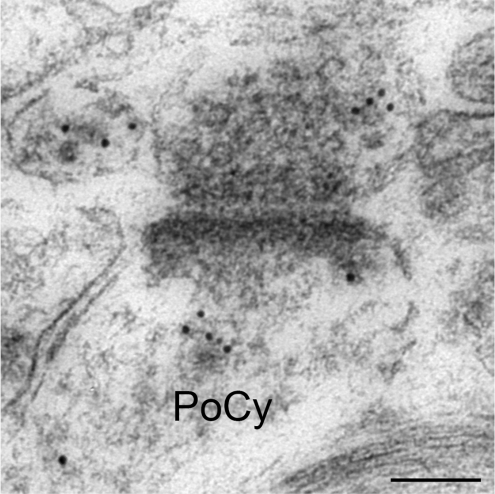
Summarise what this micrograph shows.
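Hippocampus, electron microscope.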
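This electron micrograph shows a synapse in brain tissue, with two neural profiles meeting across a narrow cleft. An electron-dense thickening runs along the apposed membranes, most prominent on one side as a dark band. The cytoplasm around the contact is finely granular. Small round black gold particles lie singly and in small clusters in the cytoplasm near the contact. Other membrane-bound profiles of neuropil surround the synapse.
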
